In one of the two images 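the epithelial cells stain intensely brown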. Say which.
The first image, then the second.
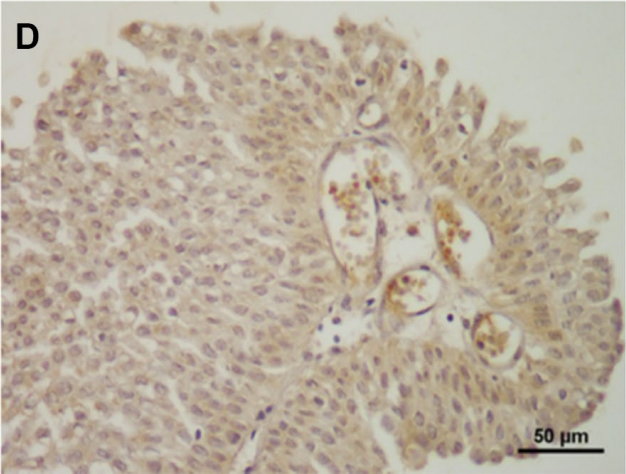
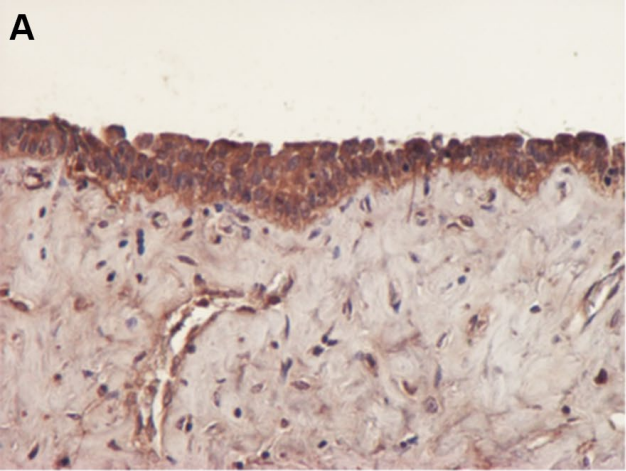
the second image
